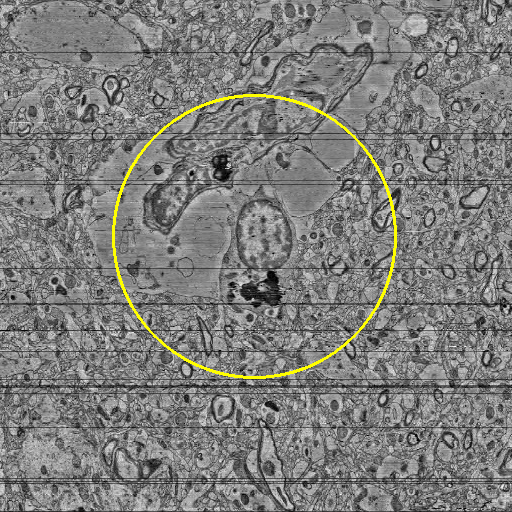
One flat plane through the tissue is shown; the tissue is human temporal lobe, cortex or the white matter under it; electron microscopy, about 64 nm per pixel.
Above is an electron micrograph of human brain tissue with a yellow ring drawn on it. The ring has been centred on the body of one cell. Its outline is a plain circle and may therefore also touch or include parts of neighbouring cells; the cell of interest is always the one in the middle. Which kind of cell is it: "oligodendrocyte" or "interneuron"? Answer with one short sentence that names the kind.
The ring's central cell body is that of an oligodendrocyte.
